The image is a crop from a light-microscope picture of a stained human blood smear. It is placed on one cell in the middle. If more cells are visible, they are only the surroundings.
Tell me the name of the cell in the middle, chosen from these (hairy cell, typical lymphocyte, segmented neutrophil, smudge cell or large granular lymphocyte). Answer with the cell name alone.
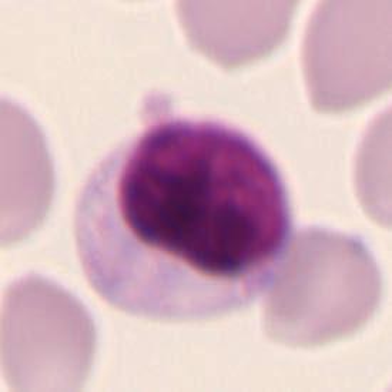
large granular lymphocyte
